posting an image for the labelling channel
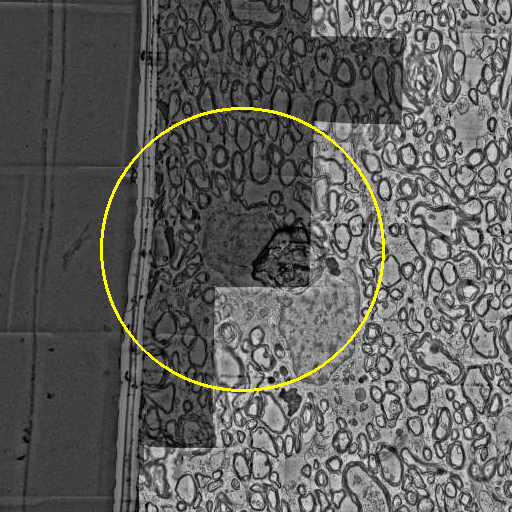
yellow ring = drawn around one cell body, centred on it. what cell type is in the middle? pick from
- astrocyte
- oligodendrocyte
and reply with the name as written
oligodendrocyte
